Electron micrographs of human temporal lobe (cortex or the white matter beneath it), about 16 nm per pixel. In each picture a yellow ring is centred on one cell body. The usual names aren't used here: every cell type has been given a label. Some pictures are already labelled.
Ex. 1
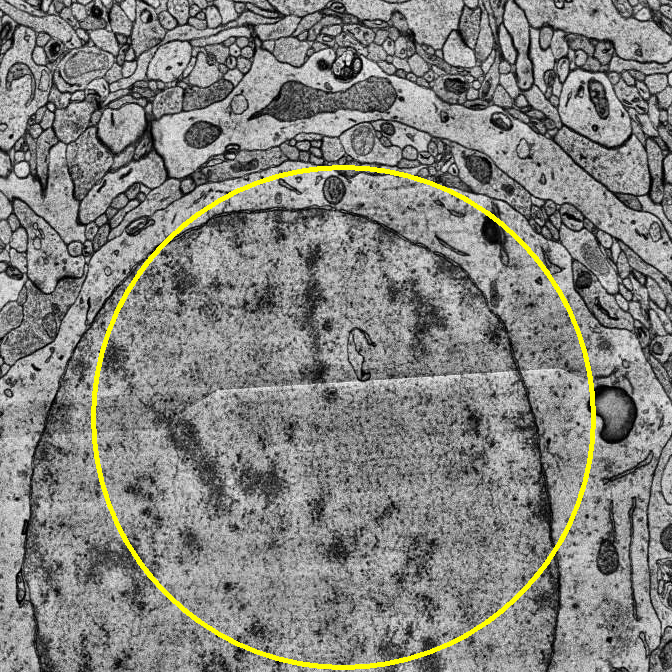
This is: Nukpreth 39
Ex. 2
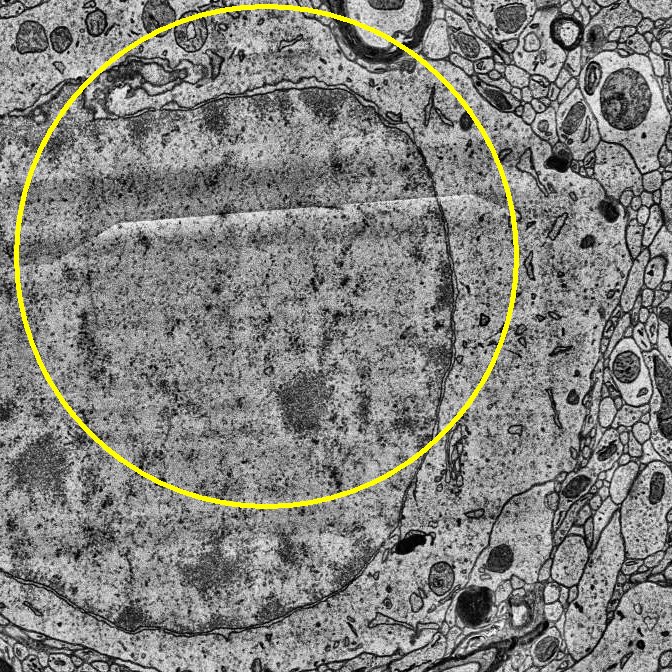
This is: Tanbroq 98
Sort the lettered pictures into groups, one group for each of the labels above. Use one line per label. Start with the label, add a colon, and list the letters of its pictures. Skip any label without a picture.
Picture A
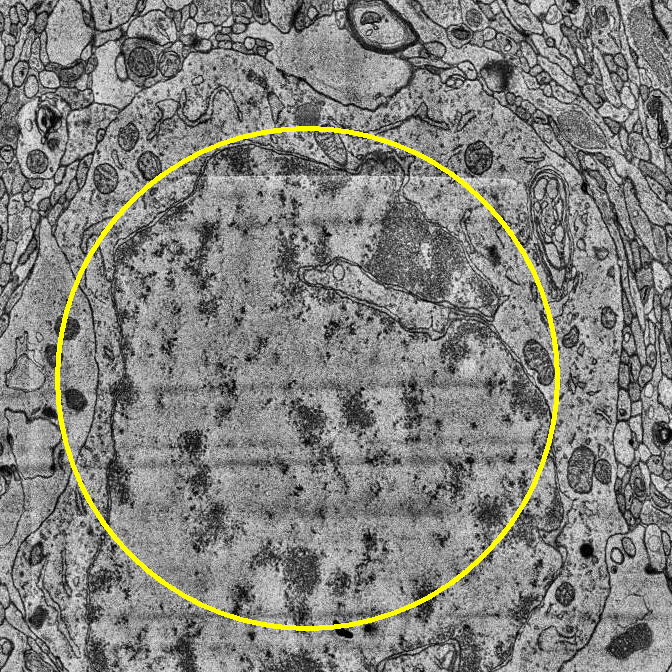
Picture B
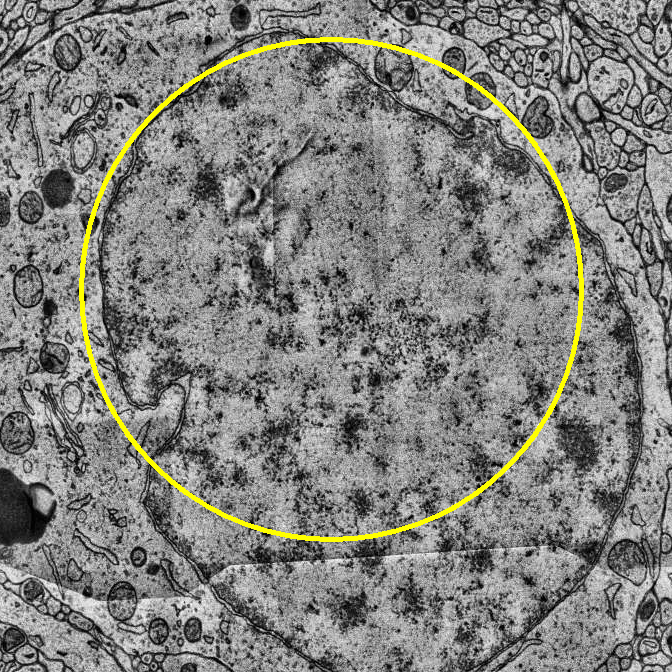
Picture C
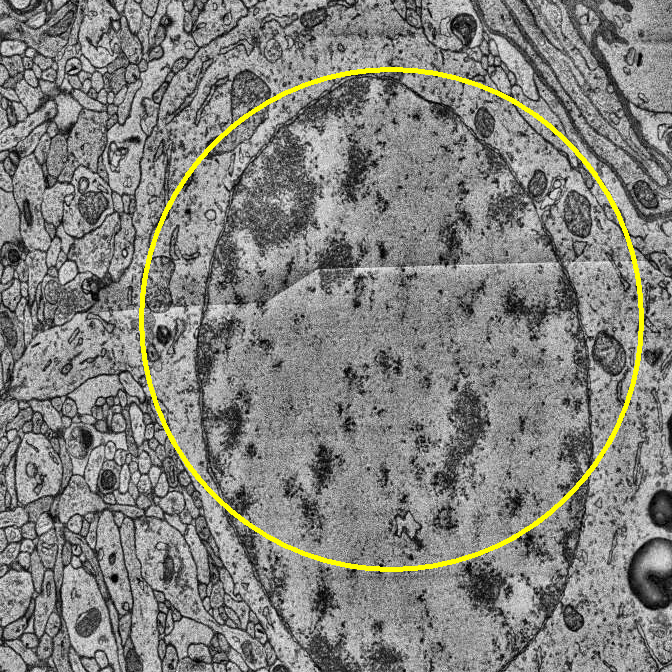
Nukpreth 39: C
Tanbroq 98: A, B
